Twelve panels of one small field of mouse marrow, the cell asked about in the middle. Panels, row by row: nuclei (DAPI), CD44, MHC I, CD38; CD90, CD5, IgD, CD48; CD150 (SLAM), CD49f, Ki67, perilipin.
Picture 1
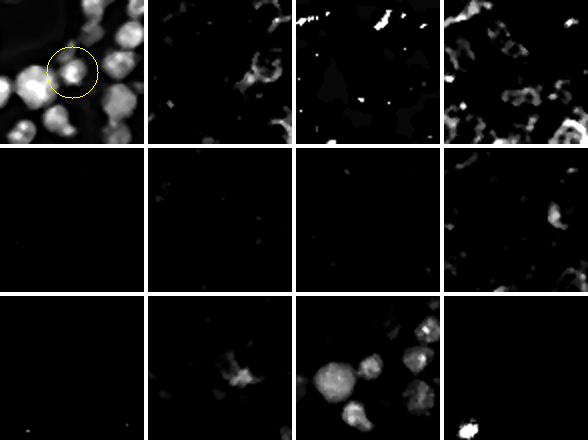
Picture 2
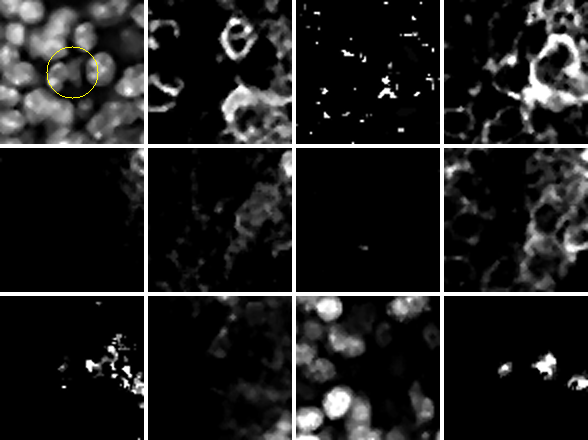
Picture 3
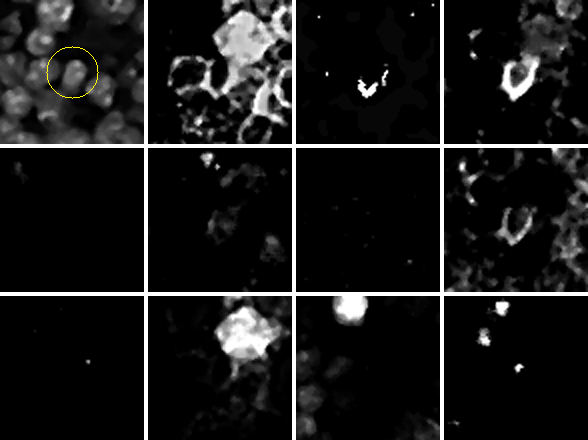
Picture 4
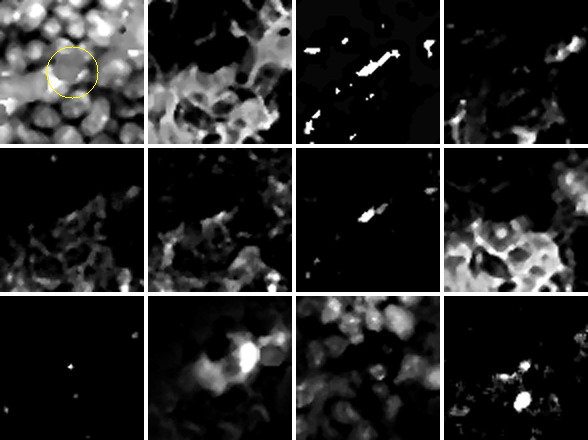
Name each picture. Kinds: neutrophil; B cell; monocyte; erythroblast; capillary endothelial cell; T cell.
1: erythroblast
2: capillary endothelial cell
3: monocyte
4: erythroblast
